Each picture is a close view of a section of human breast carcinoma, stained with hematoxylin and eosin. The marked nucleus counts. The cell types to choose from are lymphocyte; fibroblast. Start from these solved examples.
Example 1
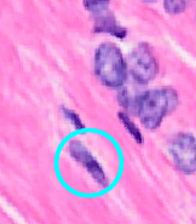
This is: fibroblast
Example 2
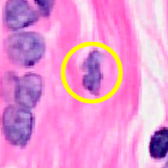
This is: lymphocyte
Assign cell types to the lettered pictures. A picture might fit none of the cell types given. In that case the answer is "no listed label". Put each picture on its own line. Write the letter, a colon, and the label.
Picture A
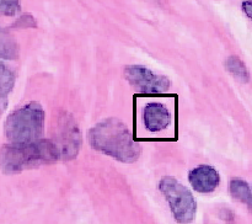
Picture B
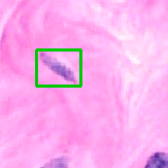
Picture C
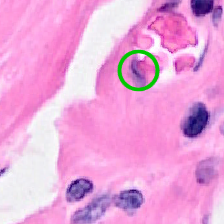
A: lymphocyte
B: fibroblast
C: no listed label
